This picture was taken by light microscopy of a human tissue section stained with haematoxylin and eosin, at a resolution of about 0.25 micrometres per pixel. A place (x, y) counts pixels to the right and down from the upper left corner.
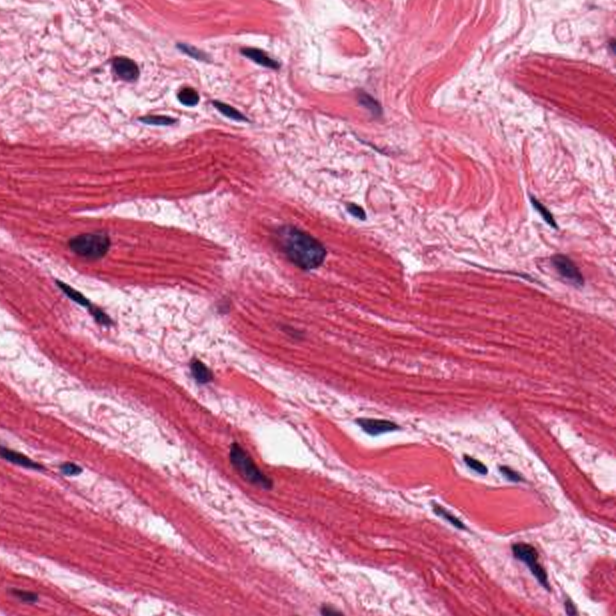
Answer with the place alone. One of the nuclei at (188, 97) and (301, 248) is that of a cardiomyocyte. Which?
(301, 248)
